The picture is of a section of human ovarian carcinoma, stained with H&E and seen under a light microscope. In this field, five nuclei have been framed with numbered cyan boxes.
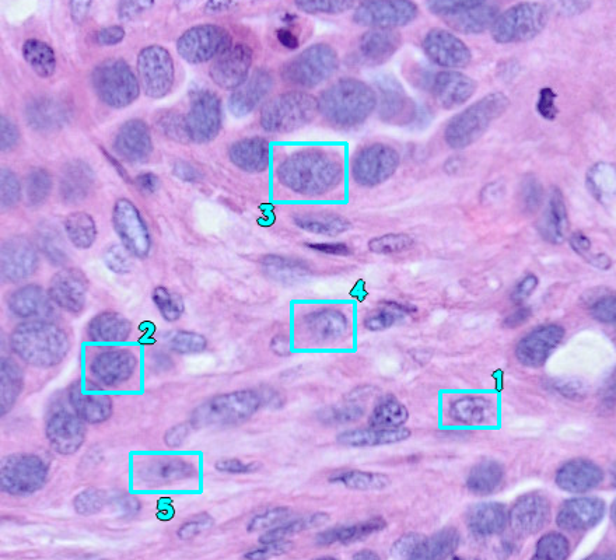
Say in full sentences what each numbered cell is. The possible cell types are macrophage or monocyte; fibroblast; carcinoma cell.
Cells 1, 4 and 5 are fibroblasts. Cells 2 and 3 are carcinoma cells.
